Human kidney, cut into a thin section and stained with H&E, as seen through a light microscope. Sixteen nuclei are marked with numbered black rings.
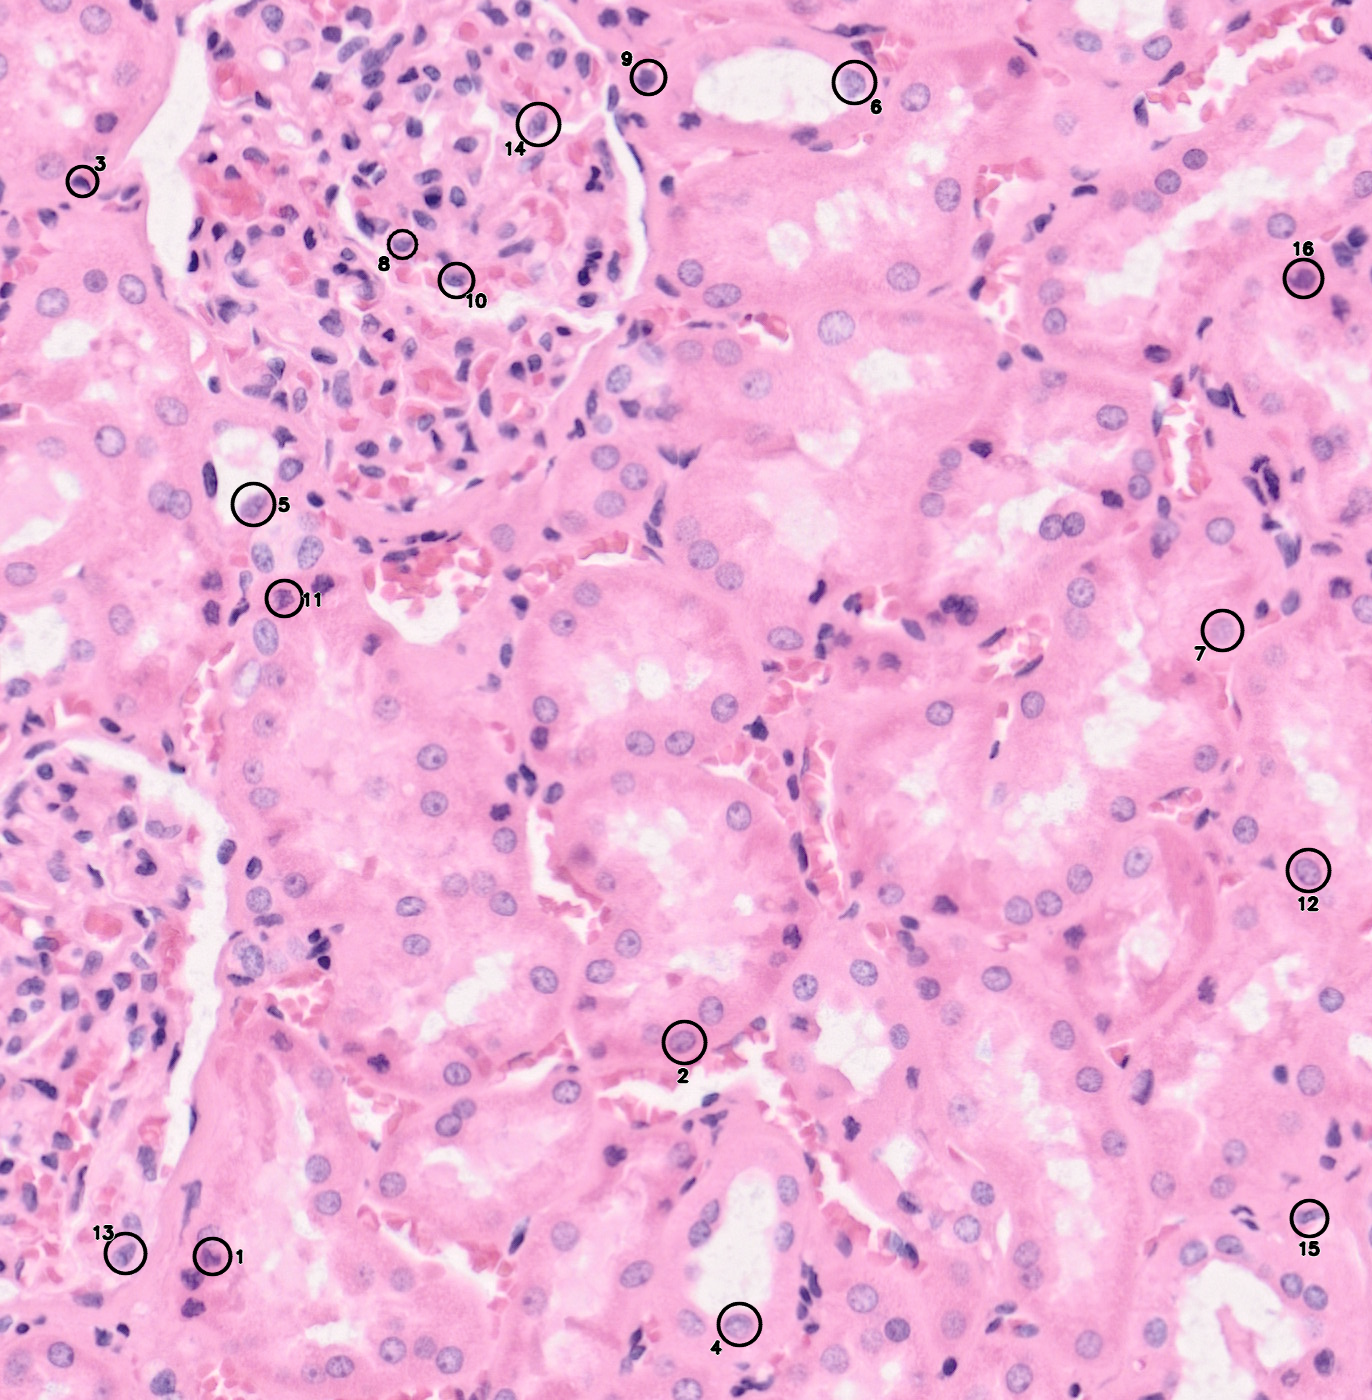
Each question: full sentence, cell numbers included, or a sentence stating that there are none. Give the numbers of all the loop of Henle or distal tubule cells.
Classified as loop of Henle or distal tubule cells are the cells numbered 4, 5 and 6.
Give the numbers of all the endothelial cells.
Classified as endothelial cells are the cells numbered 3, 8, 9, 10, 13, 14 and 15.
